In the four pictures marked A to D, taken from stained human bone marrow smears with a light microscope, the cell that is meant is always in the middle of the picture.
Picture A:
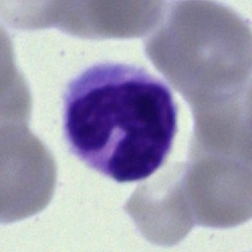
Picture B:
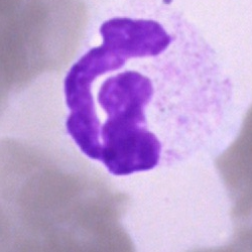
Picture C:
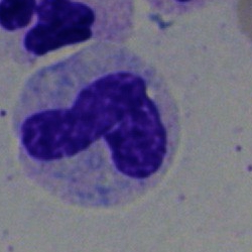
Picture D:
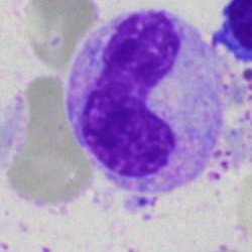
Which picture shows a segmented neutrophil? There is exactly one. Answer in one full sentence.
The segmented neutrophil is the one in picture B.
